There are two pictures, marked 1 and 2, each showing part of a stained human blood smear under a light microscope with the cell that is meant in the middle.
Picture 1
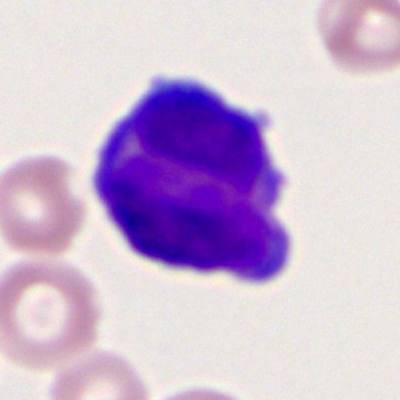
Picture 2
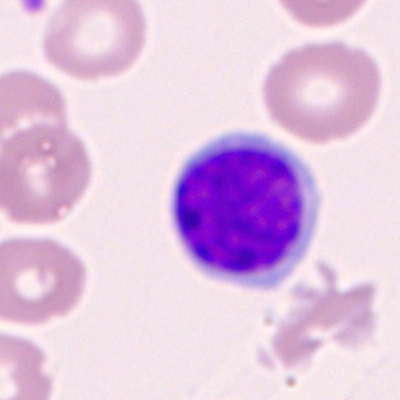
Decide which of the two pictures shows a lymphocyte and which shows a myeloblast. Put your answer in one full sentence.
The cell in picture 1 is a myeloblast, and the one in picture 2 is a lymphocyte.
